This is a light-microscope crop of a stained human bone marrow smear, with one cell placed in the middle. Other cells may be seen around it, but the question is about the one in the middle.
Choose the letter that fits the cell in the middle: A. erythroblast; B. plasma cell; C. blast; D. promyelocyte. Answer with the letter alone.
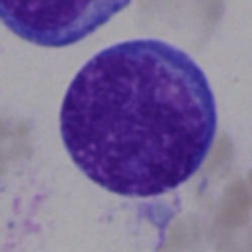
C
